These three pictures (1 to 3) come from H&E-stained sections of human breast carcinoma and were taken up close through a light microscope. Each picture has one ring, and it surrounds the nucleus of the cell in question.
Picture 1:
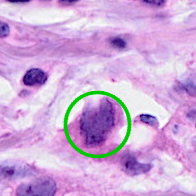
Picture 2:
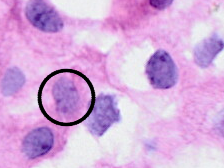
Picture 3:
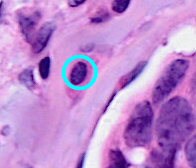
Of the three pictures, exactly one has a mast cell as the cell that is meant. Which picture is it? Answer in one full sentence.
It is picture 3 that shows the mast cell.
